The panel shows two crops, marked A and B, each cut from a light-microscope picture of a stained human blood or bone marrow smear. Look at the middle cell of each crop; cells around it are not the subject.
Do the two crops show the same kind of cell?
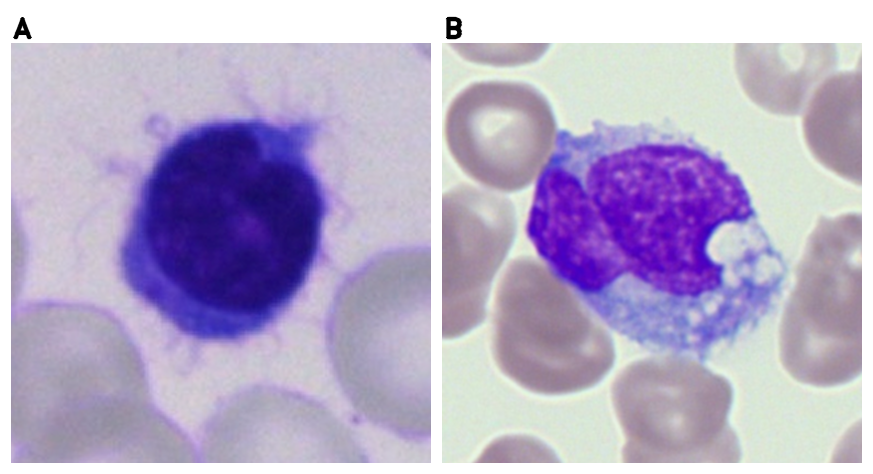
no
